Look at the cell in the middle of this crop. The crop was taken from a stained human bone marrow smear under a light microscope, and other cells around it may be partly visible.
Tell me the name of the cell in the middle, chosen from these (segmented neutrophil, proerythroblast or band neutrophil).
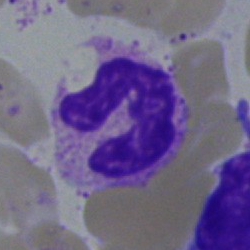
segmented neutrophil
